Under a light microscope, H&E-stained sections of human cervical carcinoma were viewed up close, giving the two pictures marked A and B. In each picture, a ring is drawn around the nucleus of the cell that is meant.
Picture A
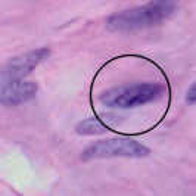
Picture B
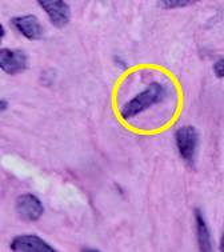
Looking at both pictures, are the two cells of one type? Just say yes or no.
yes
